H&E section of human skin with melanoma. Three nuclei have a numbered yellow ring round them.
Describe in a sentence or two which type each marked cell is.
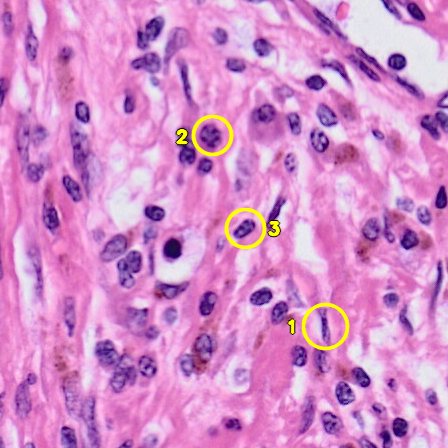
Cell 1 is a fibroblast or myofibroblast, cell 2 is a plasma cell and cell 3 is a lymphocyte.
